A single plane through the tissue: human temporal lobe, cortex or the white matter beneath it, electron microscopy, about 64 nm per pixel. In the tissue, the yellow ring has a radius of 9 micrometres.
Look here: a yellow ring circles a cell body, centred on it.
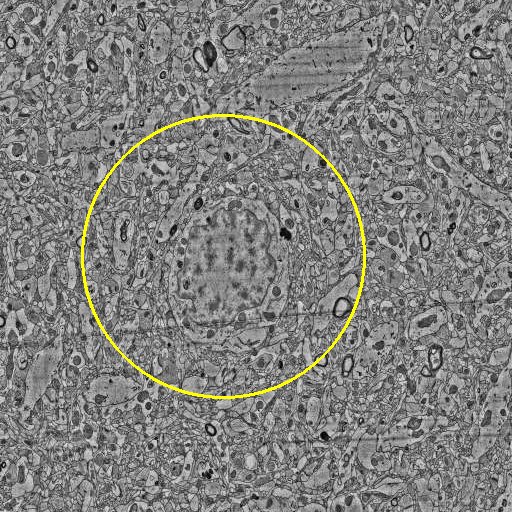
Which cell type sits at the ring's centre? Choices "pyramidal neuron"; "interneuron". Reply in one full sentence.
The cell at the centre of the yellow ring in the picture is an interneuron.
